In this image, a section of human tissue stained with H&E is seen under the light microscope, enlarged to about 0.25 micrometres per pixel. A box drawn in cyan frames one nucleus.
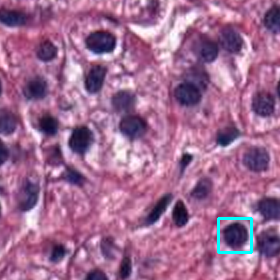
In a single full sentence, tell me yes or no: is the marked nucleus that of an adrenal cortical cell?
Yes, the nucleus marked in the image belongs to an adrenal cortical cell.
